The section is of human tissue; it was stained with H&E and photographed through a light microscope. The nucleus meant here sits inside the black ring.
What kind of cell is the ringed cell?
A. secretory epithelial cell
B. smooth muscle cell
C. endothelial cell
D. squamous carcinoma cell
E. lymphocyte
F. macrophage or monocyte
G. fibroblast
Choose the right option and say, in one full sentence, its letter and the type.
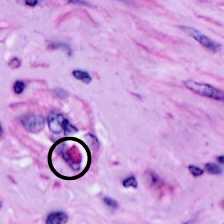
The proper choice here is C: the ringed cell is an endothelial cell.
